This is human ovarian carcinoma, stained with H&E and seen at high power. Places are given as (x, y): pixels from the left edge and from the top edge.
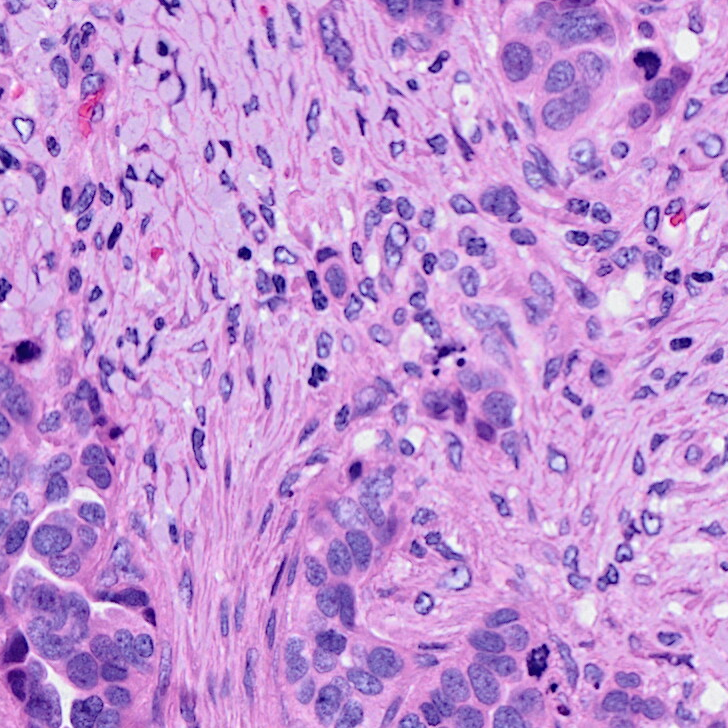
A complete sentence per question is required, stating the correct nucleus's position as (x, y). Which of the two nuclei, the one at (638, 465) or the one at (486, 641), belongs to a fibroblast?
Of the two nuclei, the one sitting at (638, 465) belongs to a fibroblast.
